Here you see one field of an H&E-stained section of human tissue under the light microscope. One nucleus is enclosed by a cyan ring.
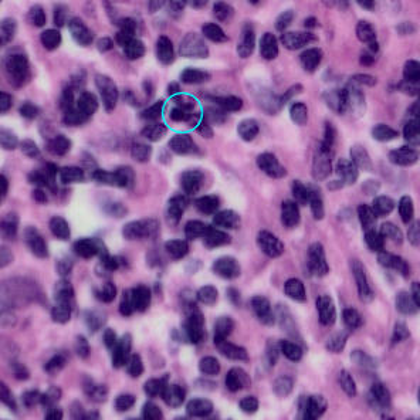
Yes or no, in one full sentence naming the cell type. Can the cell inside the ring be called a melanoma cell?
No, that is wrong: the cell inside the ring is a small lymphocyte, not a melanoma cell.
